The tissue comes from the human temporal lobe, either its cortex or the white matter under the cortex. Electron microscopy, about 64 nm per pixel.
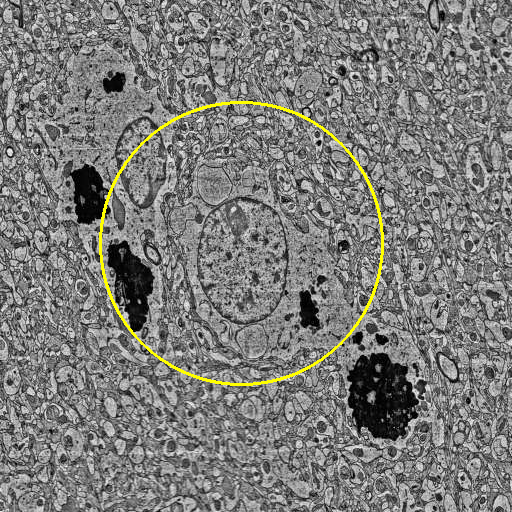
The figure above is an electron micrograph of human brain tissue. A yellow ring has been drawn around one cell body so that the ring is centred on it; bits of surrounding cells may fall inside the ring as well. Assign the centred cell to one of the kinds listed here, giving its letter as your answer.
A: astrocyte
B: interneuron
A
